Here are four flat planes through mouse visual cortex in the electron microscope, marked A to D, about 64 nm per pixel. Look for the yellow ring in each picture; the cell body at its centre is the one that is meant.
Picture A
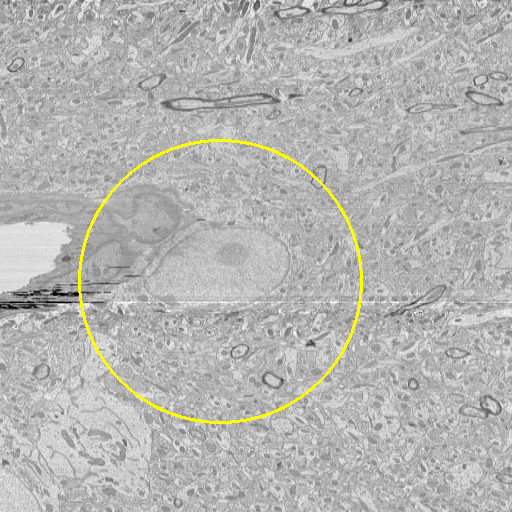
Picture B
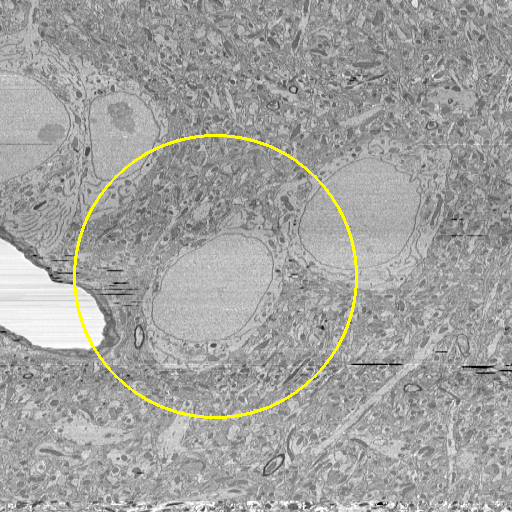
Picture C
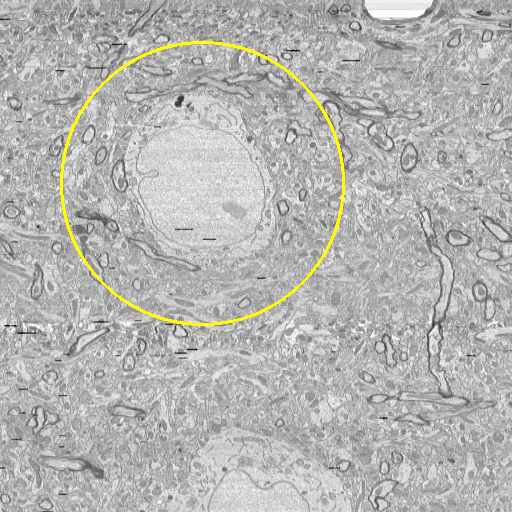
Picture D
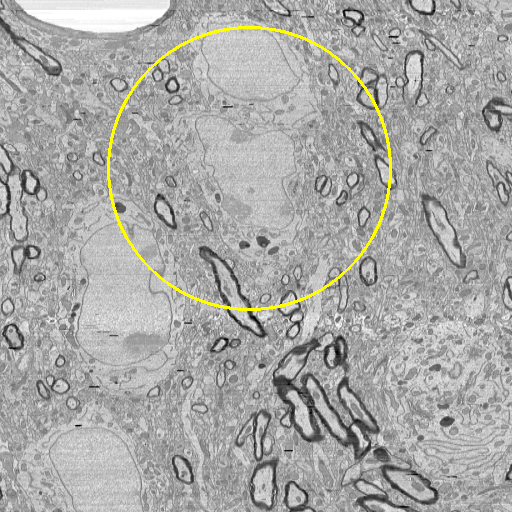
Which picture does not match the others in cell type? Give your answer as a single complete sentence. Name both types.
Picture A differs, because its cell is an astrocyte and the rest are excitatory neurons.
